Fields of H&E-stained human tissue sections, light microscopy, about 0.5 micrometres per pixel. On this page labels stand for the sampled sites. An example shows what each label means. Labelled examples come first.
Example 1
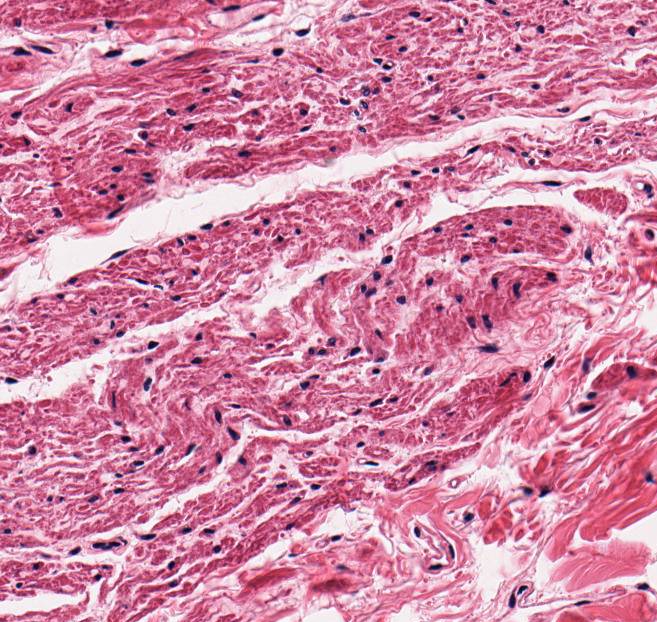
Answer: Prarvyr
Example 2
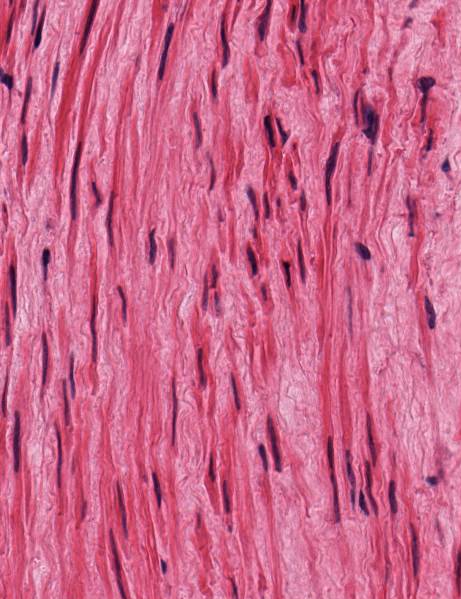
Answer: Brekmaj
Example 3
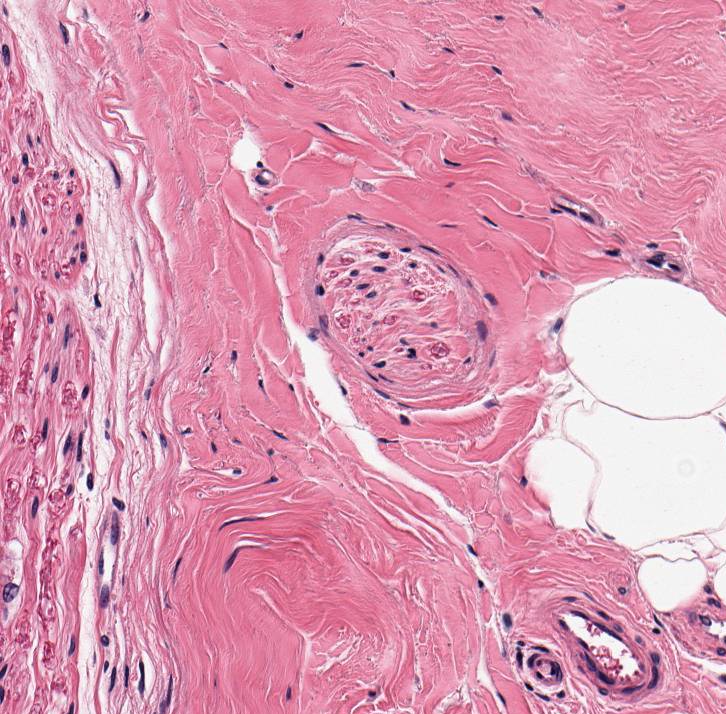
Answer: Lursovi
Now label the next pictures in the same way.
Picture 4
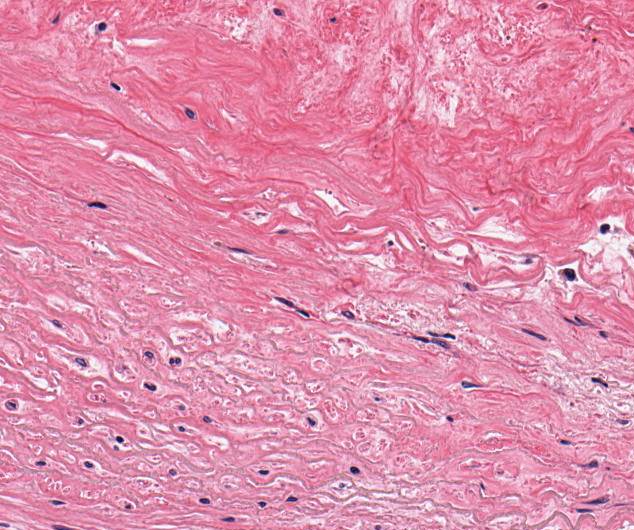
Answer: Brekmaj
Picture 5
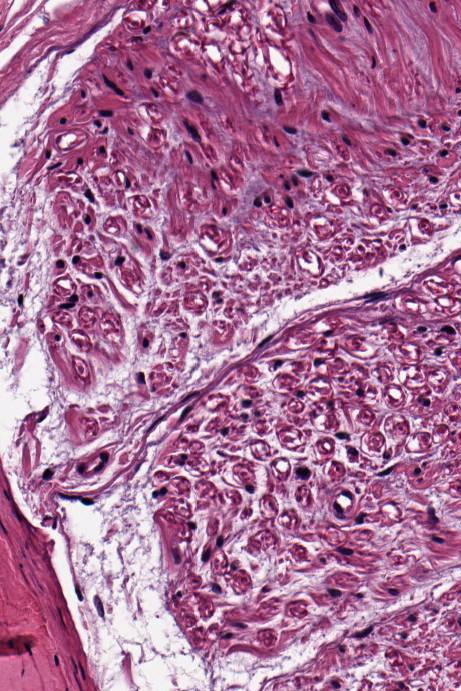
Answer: Lursovi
